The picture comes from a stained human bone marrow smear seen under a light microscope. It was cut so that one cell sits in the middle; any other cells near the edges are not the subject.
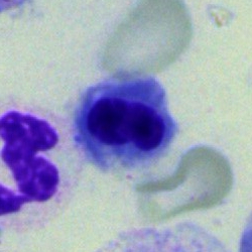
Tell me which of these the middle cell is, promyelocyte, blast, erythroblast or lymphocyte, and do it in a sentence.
For this crop, the central cell is an erythroblast.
